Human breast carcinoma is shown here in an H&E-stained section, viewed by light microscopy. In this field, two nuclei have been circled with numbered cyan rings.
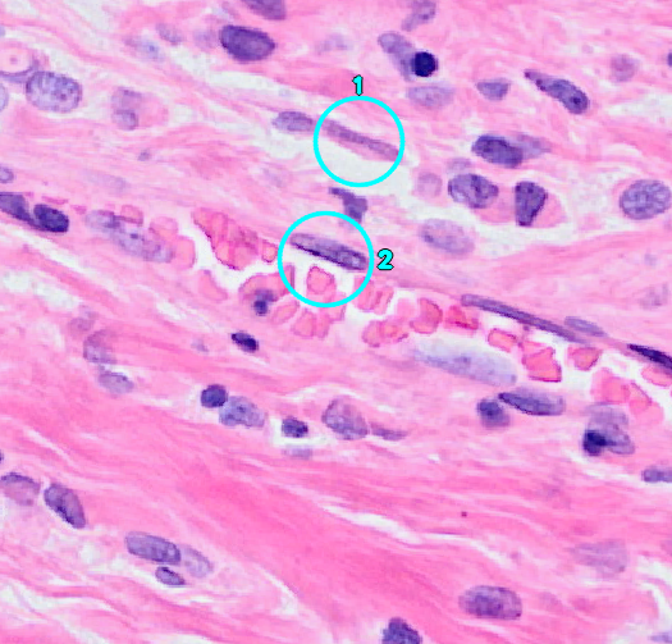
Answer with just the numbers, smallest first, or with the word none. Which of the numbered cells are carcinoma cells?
none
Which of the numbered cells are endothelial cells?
2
